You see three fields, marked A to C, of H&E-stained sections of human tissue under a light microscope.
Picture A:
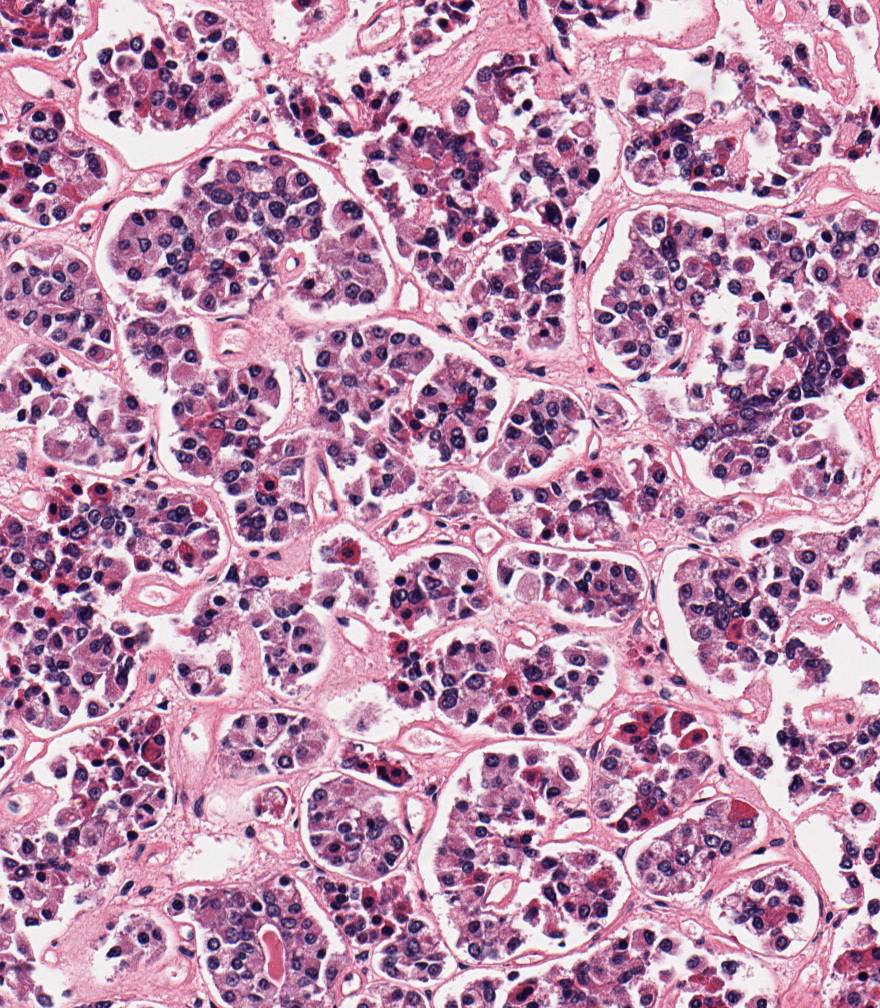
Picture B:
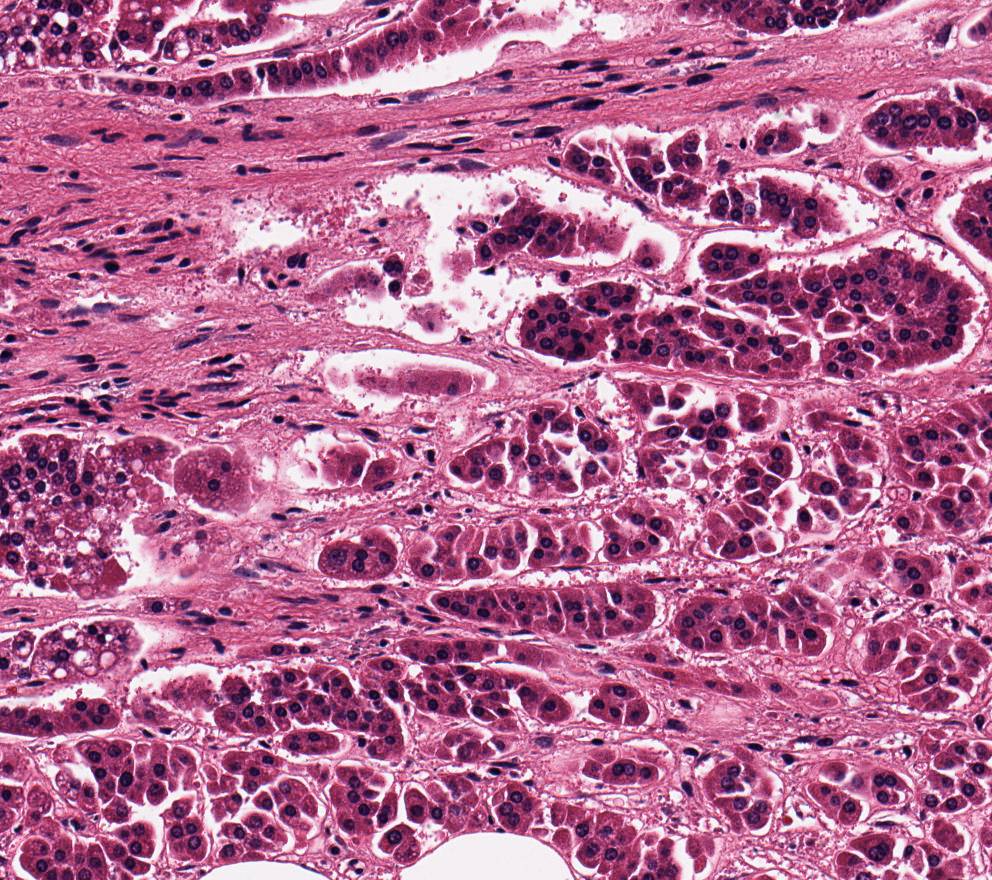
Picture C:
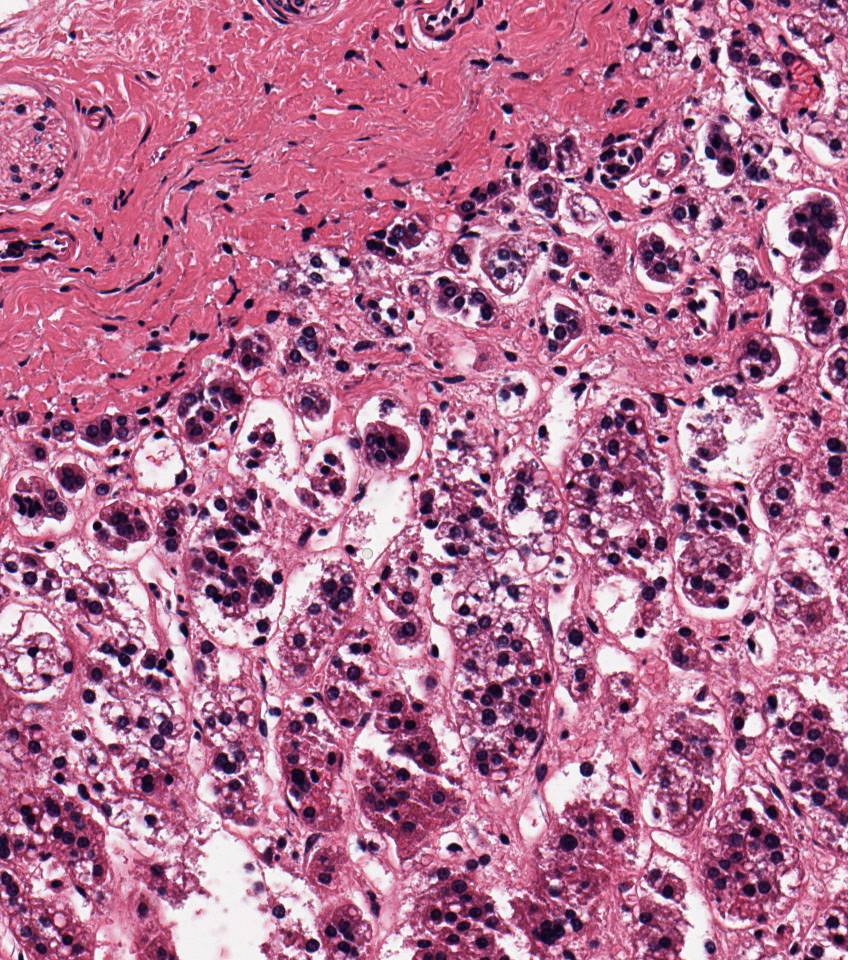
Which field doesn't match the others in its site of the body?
A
